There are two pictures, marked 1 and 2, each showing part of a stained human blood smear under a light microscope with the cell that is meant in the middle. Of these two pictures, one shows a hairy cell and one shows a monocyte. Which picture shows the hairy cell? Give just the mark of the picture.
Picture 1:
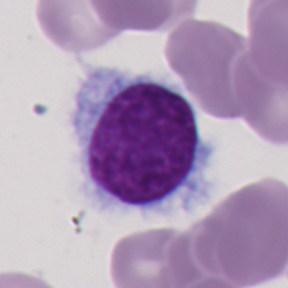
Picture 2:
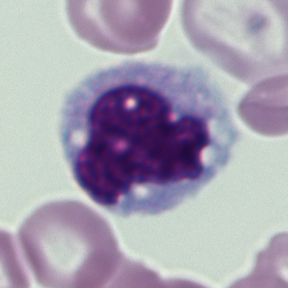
1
